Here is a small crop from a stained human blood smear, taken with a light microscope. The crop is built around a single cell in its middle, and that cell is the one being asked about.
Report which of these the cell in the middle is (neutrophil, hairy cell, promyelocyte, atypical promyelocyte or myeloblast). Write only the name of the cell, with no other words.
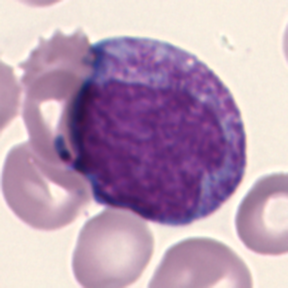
promyelocyte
